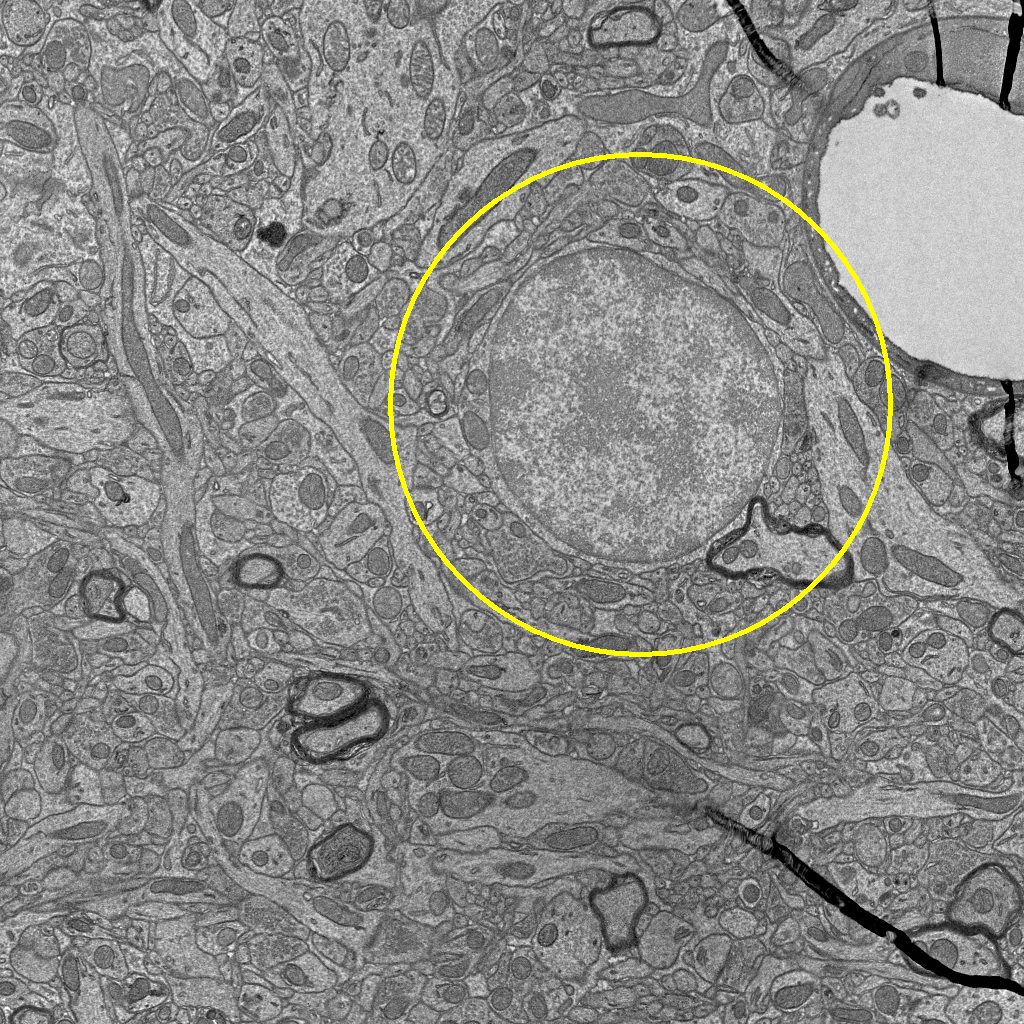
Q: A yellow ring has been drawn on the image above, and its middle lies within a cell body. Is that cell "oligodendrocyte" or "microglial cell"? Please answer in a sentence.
The ring's middle lies in the cell body of an oligodendrocyte.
